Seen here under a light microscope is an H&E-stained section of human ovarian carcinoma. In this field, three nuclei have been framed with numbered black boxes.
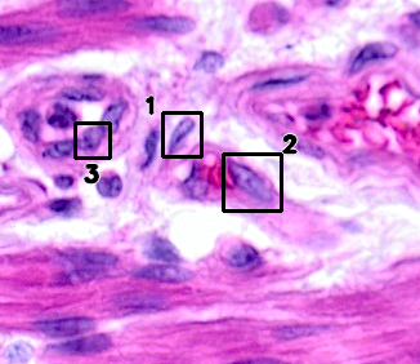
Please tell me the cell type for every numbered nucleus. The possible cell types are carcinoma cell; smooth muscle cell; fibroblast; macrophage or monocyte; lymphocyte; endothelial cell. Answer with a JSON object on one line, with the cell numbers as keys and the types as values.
{"1": "fibroblast", "2": "endothelial cell", "3": "endothelial cell"}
